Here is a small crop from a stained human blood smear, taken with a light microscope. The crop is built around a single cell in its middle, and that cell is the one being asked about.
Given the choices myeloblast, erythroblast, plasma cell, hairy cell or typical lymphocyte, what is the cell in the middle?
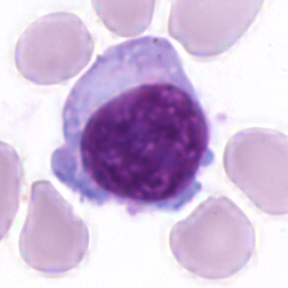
plasma cell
